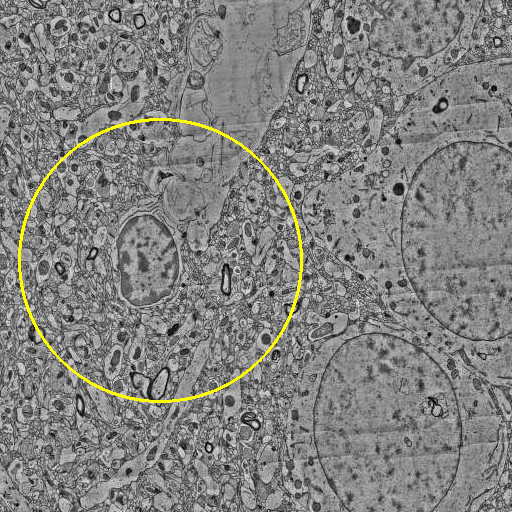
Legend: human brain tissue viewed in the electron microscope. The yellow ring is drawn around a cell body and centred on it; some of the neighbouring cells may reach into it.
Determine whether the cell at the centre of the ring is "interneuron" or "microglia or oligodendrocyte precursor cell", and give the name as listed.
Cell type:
microglia or oligodendrocyte precursor cell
